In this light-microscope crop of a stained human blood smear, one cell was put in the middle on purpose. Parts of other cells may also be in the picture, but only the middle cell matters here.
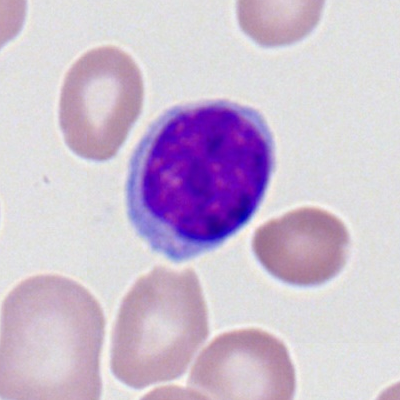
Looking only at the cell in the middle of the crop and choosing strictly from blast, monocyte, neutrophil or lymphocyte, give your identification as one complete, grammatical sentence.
Where the crop is centred, there is a lymphocyte.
